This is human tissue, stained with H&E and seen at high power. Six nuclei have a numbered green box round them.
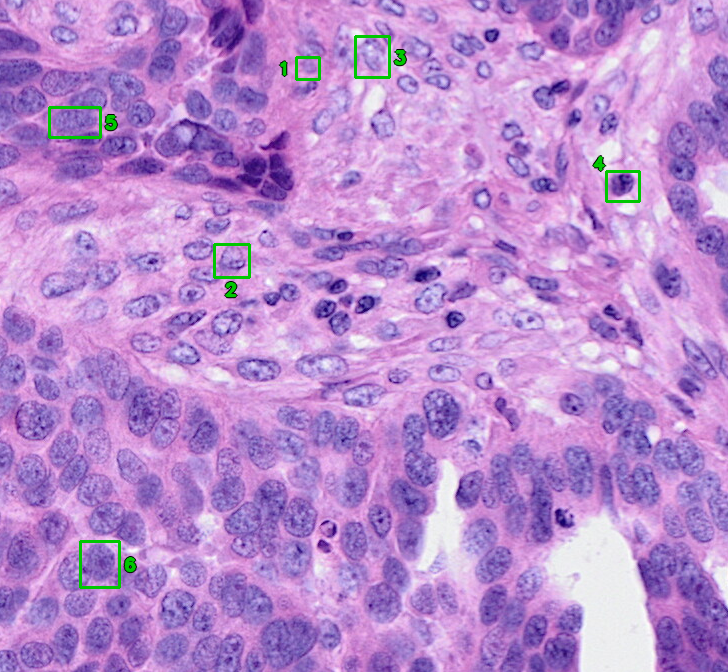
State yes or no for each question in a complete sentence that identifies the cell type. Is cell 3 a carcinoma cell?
No, it is a fibroblast, not a carcinoma cell, at number 3.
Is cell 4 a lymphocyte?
Yes, what number 4 marks is a lymphocyte.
